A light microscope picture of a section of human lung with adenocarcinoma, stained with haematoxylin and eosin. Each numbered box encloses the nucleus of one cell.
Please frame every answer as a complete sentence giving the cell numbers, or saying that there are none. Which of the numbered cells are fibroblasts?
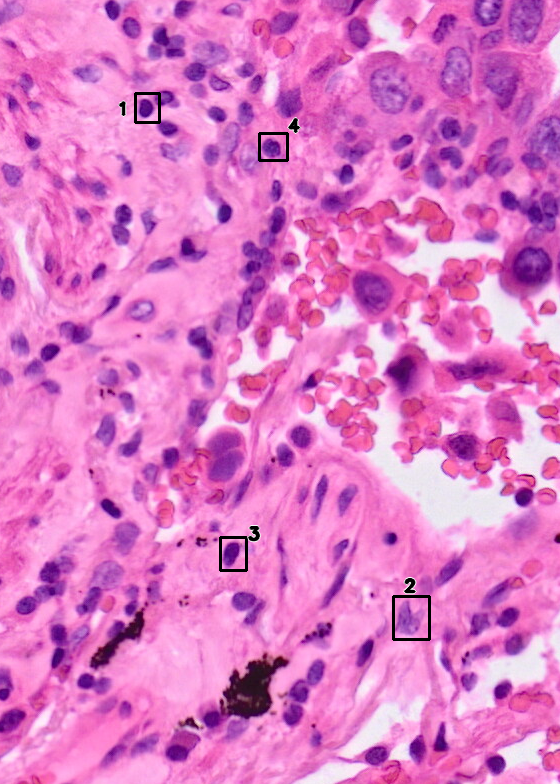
In short, cell 2 is a fibroblast; the others are not.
